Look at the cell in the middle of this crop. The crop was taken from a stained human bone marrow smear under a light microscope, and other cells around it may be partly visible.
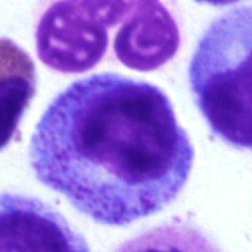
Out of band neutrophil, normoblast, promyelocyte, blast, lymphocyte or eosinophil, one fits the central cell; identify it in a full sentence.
Among the cells in view, the one in the middle is a promyelocyte.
